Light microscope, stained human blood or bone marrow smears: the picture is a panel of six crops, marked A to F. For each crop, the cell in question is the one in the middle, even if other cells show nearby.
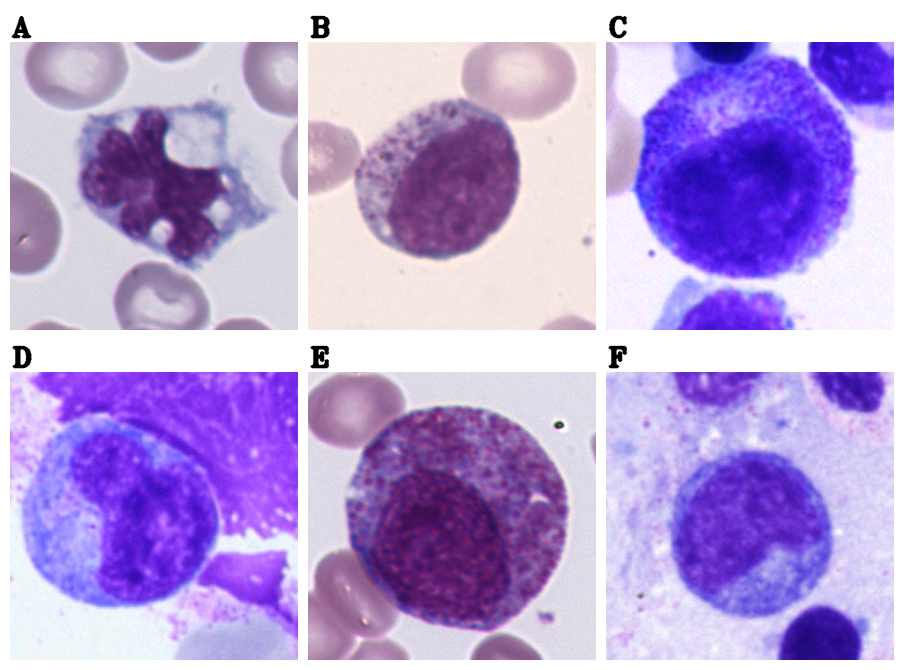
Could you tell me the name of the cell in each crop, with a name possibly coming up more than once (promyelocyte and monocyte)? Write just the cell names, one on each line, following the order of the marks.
monocyte
promyelocyte
promyelocyte
monocyte
promyelocyte
monocyte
